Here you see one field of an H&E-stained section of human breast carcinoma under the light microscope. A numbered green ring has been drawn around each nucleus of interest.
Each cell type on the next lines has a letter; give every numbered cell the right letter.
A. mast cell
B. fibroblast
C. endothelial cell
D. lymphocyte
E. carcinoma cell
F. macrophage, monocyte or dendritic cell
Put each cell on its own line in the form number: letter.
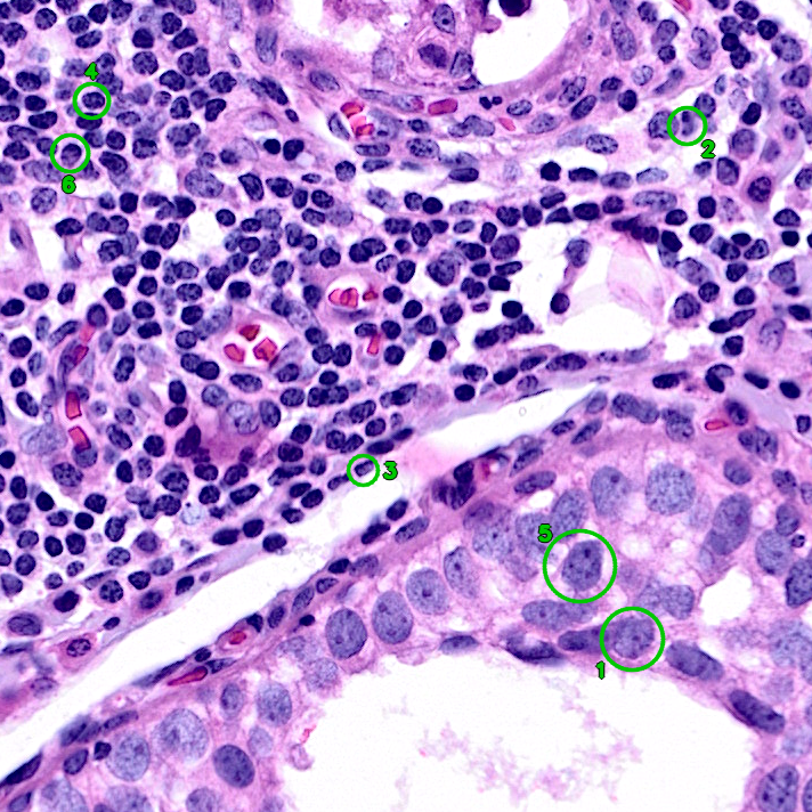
1: E
2: D
3: D
4: D
5: E
6: D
